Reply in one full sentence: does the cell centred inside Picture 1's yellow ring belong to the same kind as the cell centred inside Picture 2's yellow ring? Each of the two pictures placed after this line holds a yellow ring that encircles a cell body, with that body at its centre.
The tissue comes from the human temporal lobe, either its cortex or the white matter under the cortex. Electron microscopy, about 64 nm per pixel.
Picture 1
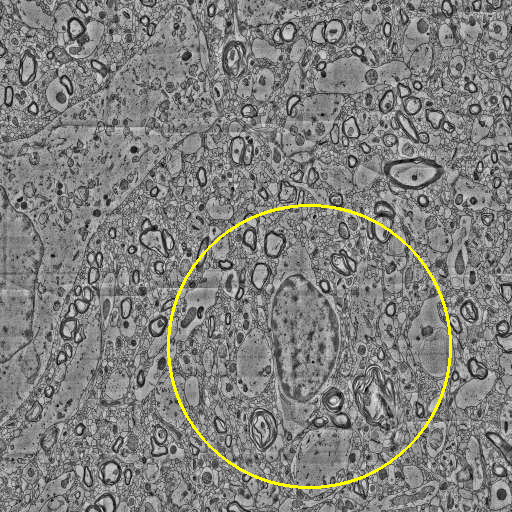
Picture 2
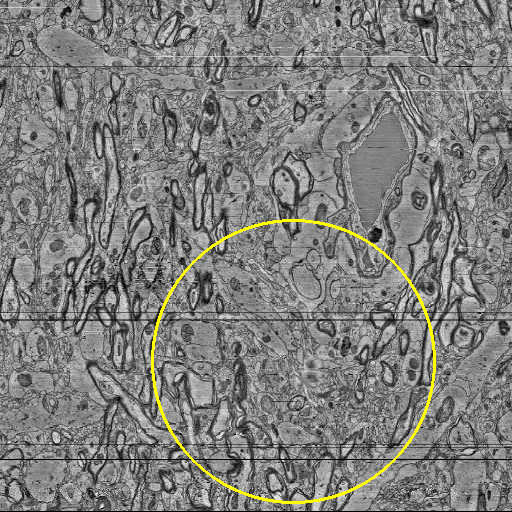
Yes, the ring-centred cells in Picture 1 and Picture 2 are of one and the same kind.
